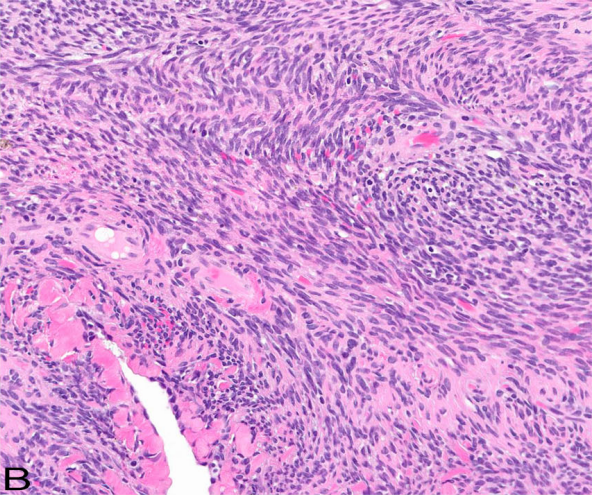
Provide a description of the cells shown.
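This is the solid part of a tumor made of densely packed spindle cells arranged in fascicles. The cells have elongated, oval to tapered nuclei with dark purple chromatin and scant, poorly outlined pink cytoplasm. The bundles stream in slightly different directions, giving a crowded, sweeping pattern. Scattered small vessels with pink hyalinized walls lie among the cells. At the lower left, dense pink collagen and a narrow cleft-like space interrupt the cellular sheets.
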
